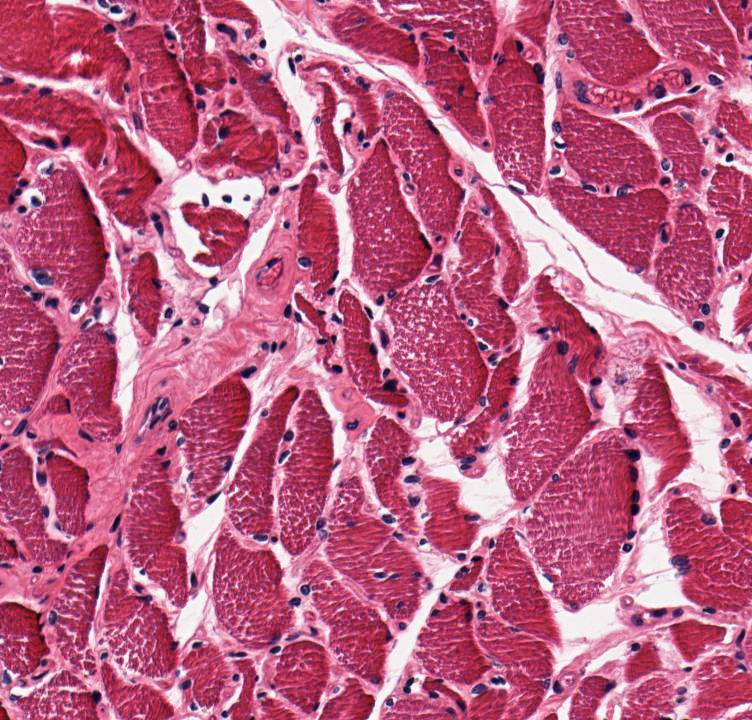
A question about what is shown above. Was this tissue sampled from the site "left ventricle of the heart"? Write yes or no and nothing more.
no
